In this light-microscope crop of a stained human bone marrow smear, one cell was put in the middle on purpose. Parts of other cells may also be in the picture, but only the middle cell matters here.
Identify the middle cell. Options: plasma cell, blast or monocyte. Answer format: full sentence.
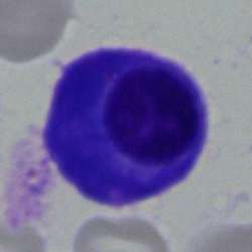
What sits at the centre of this crop is a plasma cell.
